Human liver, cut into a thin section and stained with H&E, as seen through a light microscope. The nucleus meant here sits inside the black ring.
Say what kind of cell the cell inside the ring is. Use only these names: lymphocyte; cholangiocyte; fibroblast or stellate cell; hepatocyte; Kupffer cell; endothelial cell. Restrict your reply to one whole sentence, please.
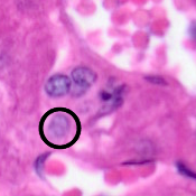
As for its identity, the cell inside the ring is a cholangiocyte.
